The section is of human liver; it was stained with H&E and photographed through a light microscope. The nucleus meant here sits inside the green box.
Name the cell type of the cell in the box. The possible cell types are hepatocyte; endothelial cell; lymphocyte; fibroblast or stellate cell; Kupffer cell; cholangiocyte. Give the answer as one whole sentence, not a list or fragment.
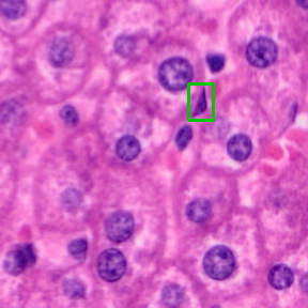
The cell type of the cell in the box is that of an endothelial cell.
